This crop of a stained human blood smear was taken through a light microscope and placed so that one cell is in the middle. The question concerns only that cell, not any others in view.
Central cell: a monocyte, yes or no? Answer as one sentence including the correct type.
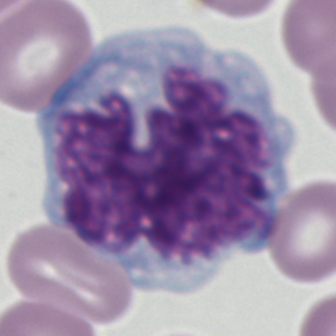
Yes, the centre of the crop holds a monocyte.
